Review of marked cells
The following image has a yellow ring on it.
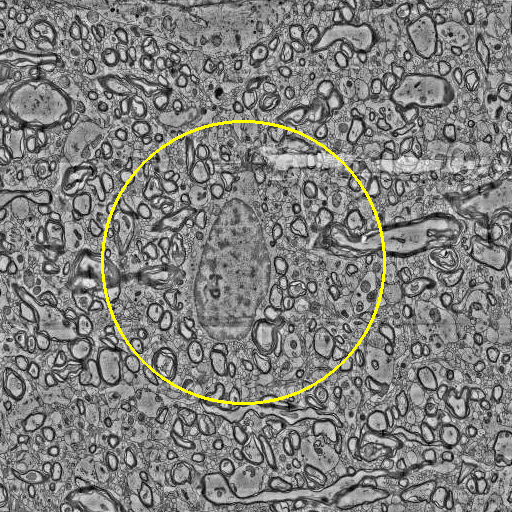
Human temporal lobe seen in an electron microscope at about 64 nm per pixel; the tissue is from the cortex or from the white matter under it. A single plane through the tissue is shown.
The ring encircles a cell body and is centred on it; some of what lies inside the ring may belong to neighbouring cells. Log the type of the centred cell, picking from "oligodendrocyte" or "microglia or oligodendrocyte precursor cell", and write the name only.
oligodendrocyte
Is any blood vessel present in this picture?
No, the picture includes no blood vessel.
